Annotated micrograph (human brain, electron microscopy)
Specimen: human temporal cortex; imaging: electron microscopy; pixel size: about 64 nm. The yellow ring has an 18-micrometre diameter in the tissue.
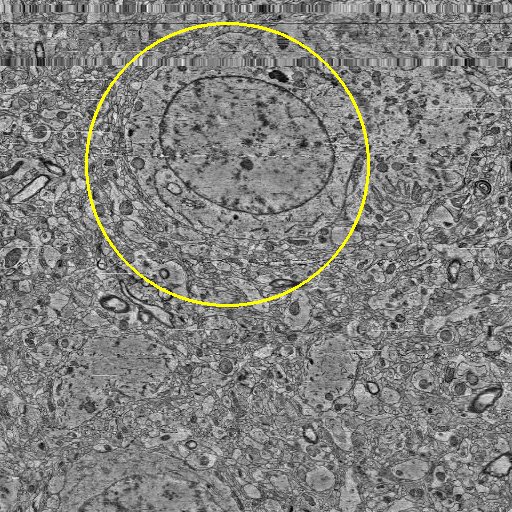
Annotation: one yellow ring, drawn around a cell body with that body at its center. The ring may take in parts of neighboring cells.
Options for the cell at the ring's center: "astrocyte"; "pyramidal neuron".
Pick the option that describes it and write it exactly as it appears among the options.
pyramidal neuron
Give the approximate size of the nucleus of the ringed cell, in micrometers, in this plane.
About 11 micrometres by about 9 micrometres in this plane.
